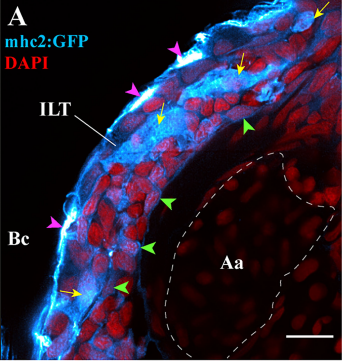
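This section shows a band of lymphoid tissue lining the gill, packed with cells whose red nuclei are oval to rounded. Along the outer border facing the cavity lies a thin bright cyan layer of flattened surface cells. Some larger, brighter cyan cells are scattered among them. Deep to the band a large vessel outline is drawn with a dashed line.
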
